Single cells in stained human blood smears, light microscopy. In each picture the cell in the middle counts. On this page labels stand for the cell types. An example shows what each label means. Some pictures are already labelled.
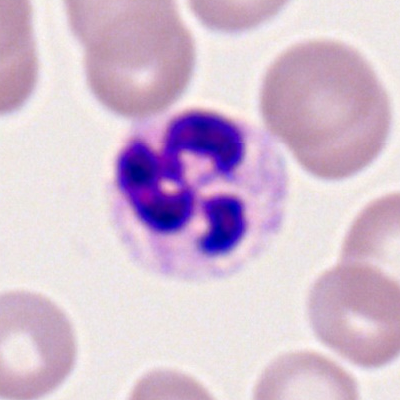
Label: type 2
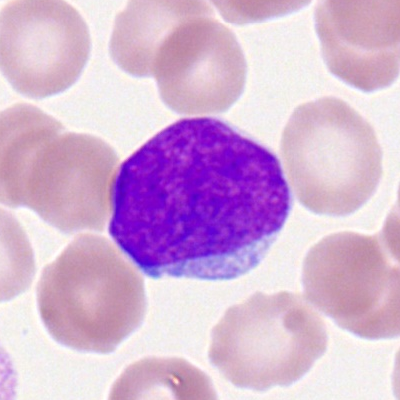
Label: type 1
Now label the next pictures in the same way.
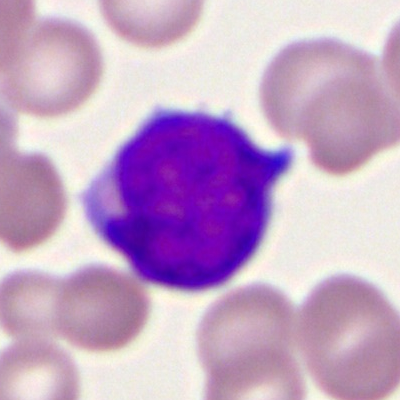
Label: type 1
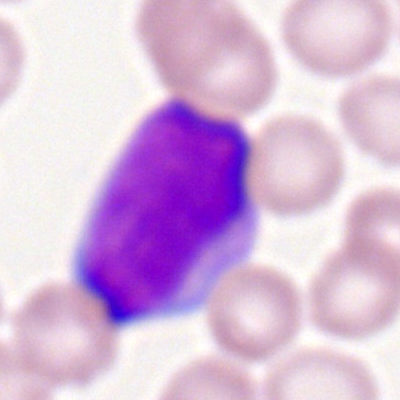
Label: type 1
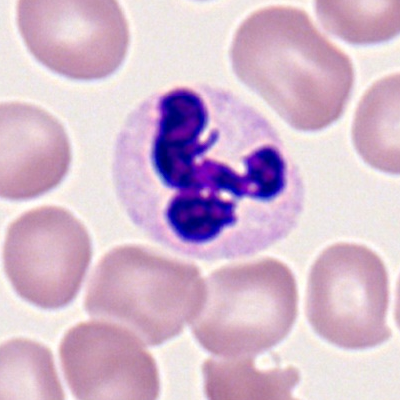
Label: type 2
